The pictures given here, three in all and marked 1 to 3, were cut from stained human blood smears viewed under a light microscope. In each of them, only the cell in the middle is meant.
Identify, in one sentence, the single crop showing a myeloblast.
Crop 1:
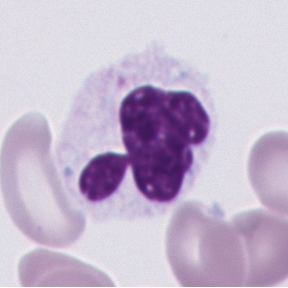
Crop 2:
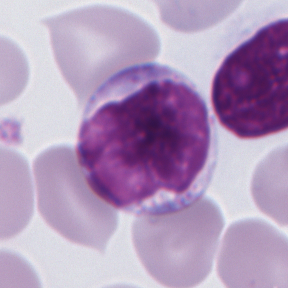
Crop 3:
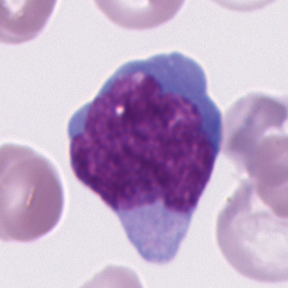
Crop 3 shows a myeloblast, and no other crop does.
